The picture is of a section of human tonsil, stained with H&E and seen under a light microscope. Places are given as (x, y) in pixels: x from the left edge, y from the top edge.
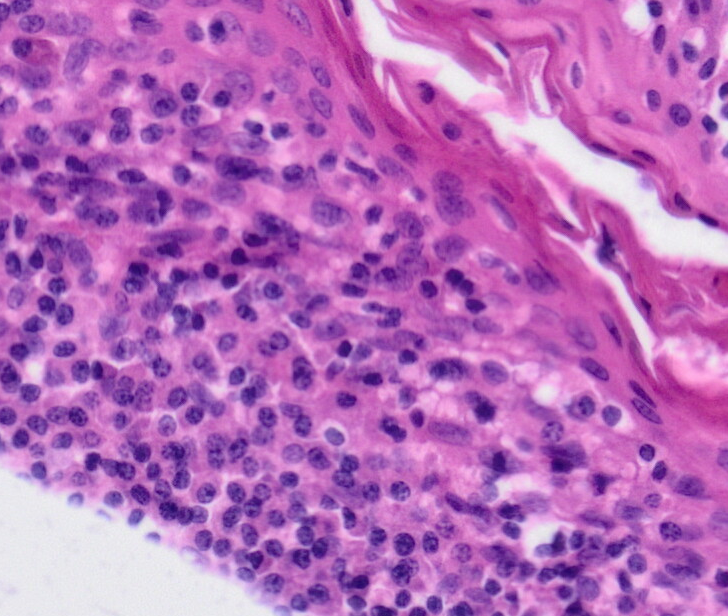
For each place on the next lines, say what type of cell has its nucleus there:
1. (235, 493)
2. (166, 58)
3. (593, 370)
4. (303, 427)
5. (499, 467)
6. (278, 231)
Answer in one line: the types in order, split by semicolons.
plasma cell; squamous epithelial cell; squamous epithelial cell; plasma cell; squamous epithelial cell; squamous epithelial cell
